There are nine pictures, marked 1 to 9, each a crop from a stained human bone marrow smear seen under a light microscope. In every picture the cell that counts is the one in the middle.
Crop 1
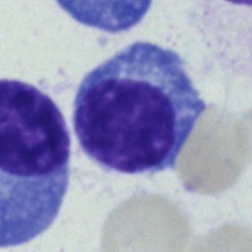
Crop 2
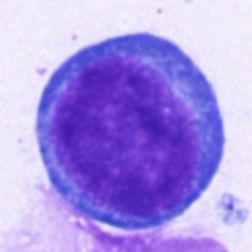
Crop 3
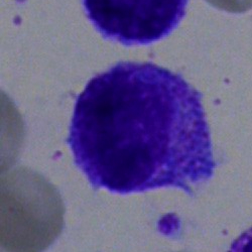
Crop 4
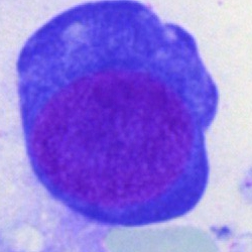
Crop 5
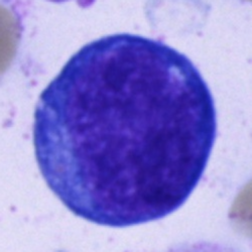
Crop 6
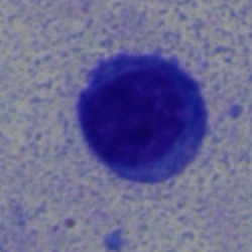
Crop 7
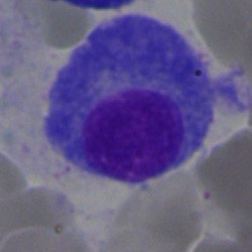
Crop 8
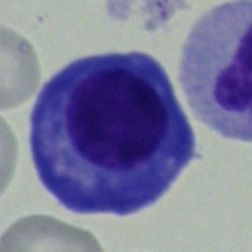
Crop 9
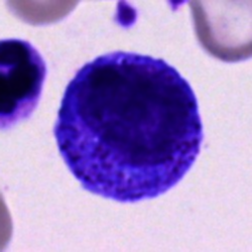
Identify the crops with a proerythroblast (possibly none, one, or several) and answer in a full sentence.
Crops 2, 4 and 5 feature proerythroblasts as the cells at their centres.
